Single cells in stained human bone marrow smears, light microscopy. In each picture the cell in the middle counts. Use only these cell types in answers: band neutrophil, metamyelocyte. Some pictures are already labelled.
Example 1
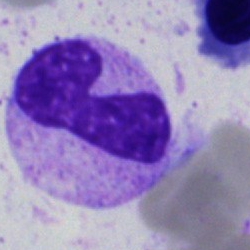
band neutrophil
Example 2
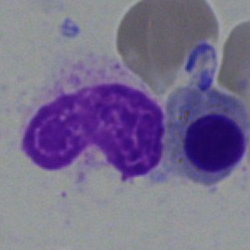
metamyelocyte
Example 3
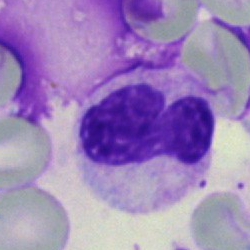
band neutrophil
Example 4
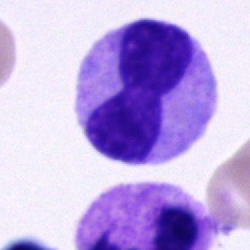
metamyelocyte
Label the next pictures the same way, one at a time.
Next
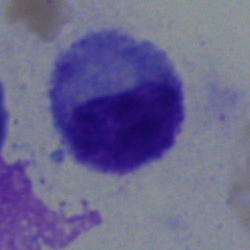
metamyelocyte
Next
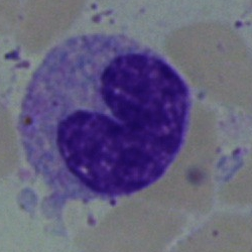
band neutrophil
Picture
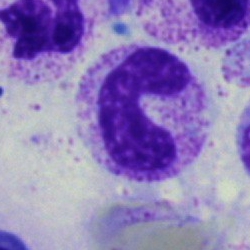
band neutrophil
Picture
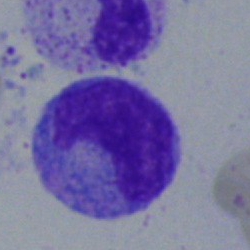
metamyelocyte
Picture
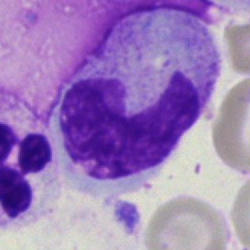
band neutrophil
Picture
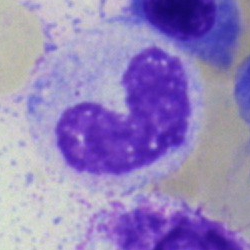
band neutrophil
